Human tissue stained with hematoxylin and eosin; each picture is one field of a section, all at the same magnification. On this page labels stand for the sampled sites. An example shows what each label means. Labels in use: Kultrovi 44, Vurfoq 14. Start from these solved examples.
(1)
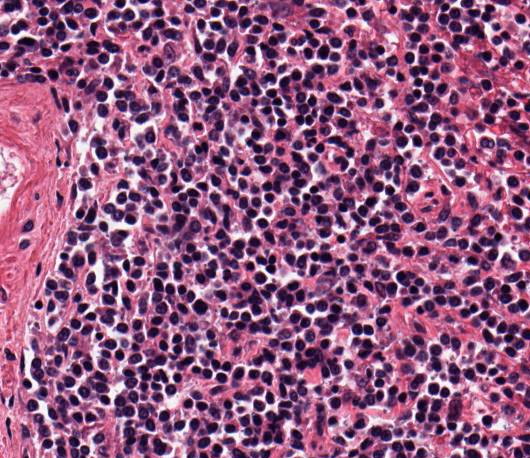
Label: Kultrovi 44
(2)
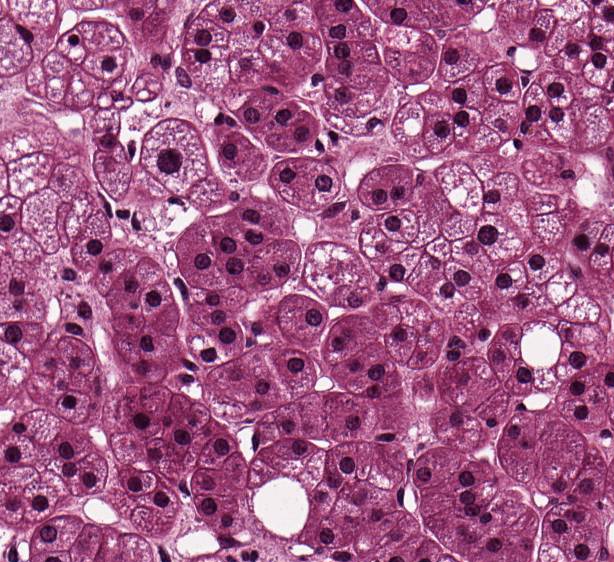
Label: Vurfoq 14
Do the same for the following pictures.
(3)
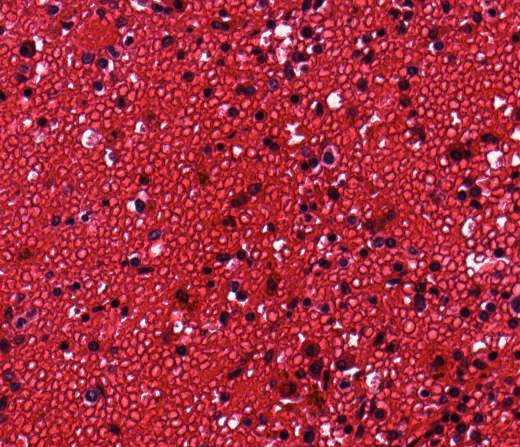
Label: Kultrovi 44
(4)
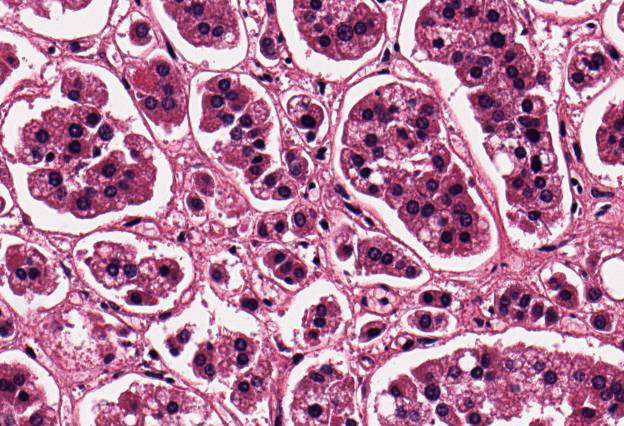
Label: Vurfoq 14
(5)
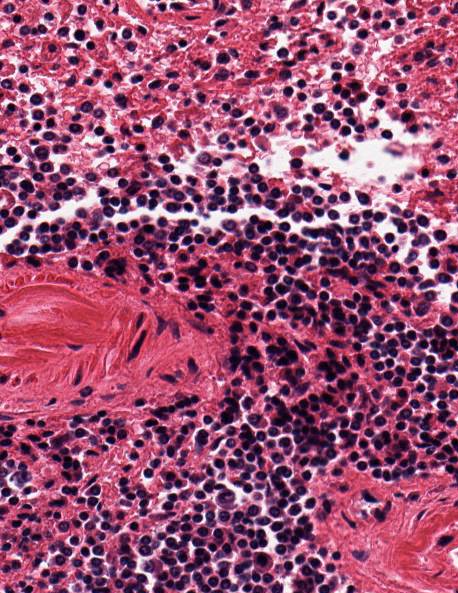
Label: Kultrovi 44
